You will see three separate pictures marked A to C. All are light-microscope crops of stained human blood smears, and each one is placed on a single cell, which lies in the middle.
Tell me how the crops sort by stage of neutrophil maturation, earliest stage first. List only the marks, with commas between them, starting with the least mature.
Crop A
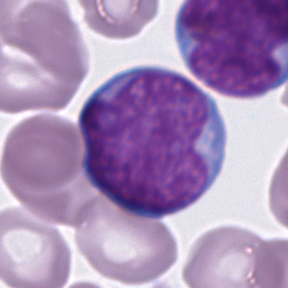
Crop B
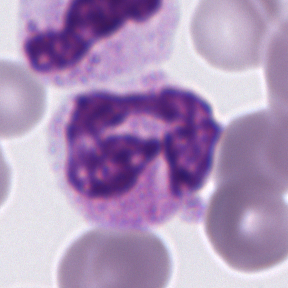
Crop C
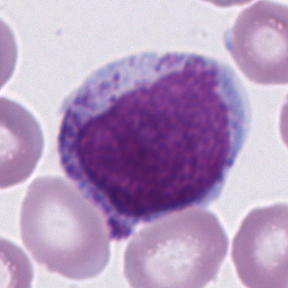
A, C, B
